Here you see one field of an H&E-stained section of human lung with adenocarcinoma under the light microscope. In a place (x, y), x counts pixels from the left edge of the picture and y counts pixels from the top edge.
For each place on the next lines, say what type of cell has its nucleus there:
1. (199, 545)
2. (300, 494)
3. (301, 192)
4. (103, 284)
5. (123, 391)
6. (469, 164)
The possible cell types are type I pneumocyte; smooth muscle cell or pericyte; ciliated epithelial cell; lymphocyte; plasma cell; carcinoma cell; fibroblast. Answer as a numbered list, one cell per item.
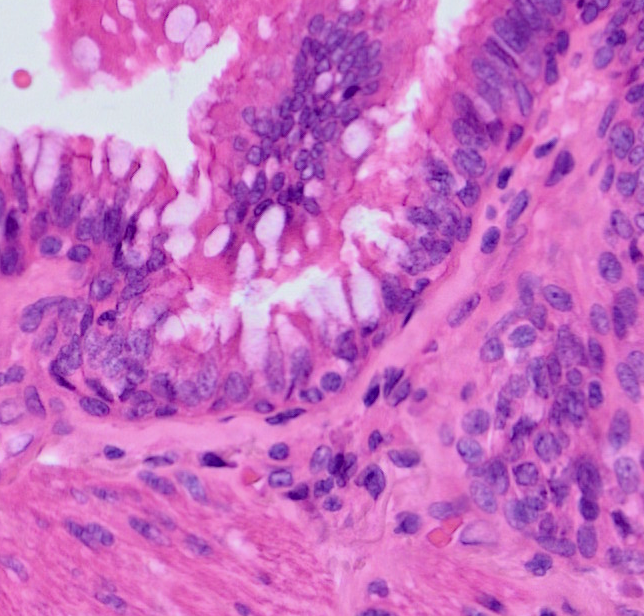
1. smooth muscle cell or pericyte
2. plasma cell
3. ciliated epithelial cell
4. ciliated epithelial cell
5. ciliated epithelial cell
6. ciliated epithelial cell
